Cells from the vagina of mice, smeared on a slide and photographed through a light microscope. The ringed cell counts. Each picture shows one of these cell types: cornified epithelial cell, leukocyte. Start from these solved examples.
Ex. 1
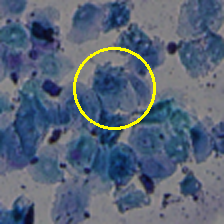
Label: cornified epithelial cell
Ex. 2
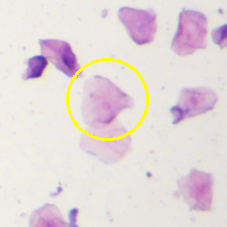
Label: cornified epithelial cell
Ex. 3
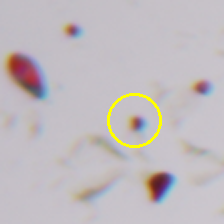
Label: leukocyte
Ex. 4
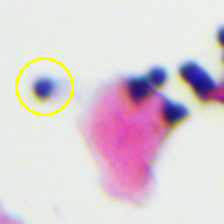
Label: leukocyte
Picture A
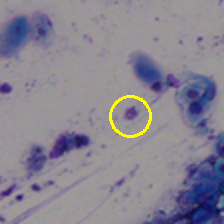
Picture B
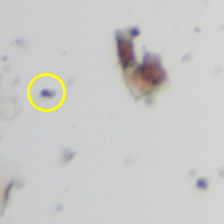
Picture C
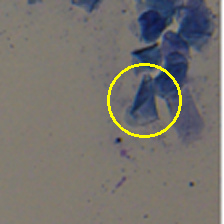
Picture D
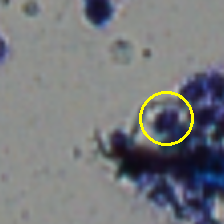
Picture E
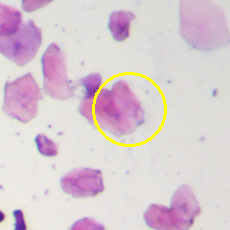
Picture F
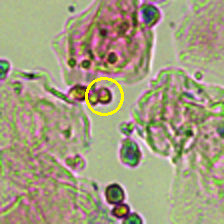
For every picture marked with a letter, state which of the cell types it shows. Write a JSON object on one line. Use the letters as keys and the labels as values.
{"A": "leukocyte", "B": "leukocyte", "C": "cornified epithelial cell", "D": "leukocyte", "E": "cornified epithelial cell", "F": "leukocyte"}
